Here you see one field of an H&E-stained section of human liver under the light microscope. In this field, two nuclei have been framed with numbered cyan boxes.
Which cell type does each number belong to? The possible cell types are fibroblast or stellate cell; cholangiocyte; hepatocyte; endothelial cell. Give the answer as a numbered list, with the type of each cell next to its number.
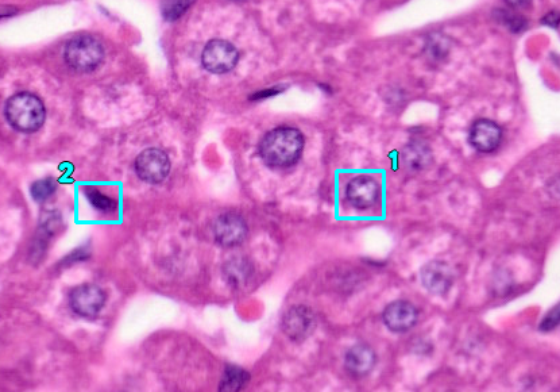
1. hepatocyte
2. fibroblast or stellate cell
